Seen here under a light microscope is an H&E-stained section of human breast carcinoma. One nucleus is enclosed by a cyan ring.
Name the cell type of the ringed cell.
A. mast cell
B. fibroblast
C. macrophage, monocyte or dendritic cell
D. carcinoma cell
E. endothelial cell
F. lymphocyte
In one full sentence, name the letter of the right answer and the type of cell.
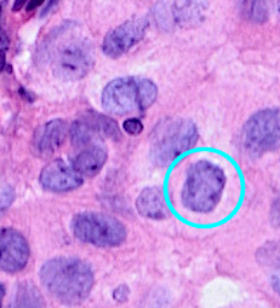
Since the ringed cell is a carcinoma cell, the right option is D.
